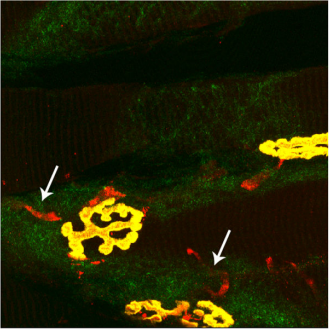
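This is skeletal muscle seen lengthwise, with several motor end plates lying on the muscle fibers. The end plates show as bright yellow-orange clusters with a branched, flower-like outline, made of curved, beaded gutters. Behind them the muscle fibers run across the field, faintly cross-striated. Thin red threads, the intramuscular axons, reach toward the end plates. A fine grainy green haze lies over parts of the fibers.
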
